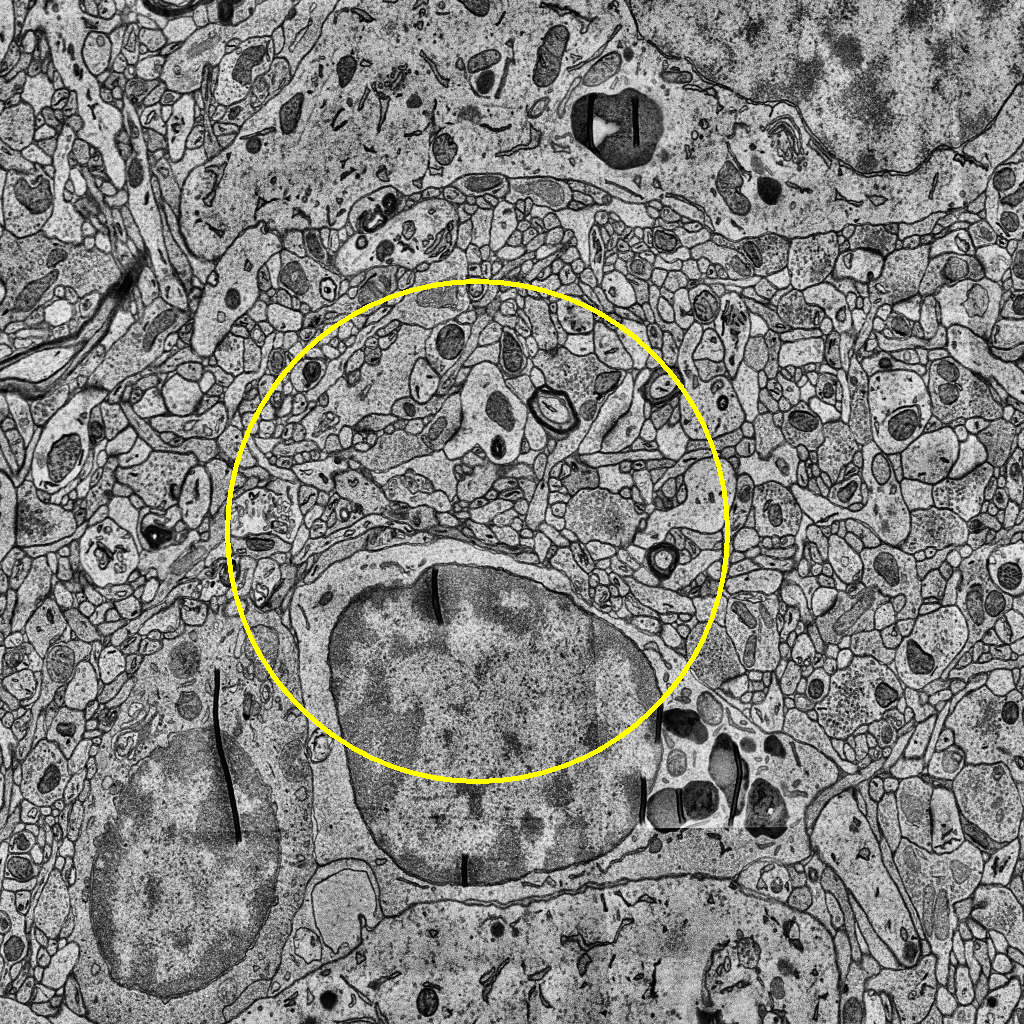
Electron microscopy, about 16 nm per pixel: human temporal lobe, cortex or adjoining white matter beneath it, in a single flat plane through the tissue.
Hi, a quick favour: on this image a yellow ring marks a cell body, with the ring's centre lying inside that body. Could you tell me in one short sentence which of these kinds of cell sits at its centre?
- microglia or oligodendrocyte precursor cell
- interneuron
The ring's centre lies in a microglial cell or oligodendrocyte precursor cell.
